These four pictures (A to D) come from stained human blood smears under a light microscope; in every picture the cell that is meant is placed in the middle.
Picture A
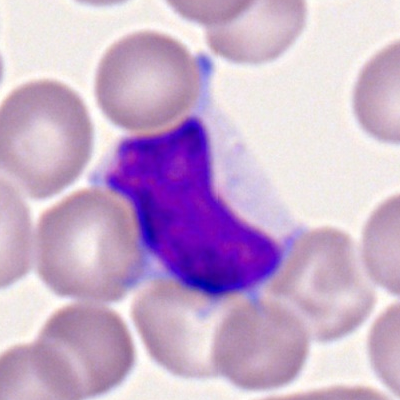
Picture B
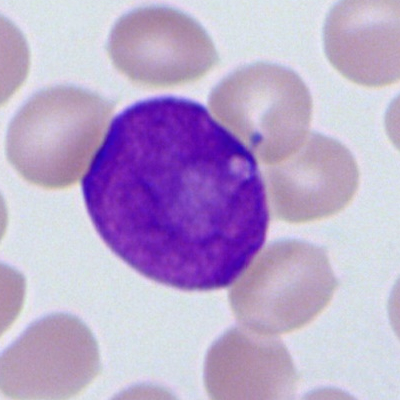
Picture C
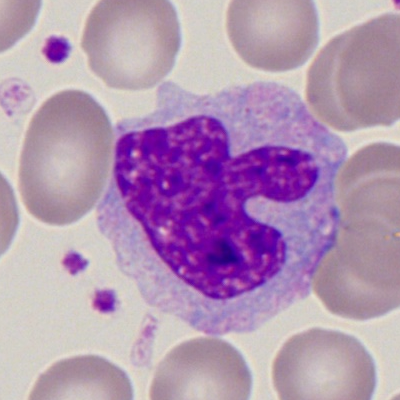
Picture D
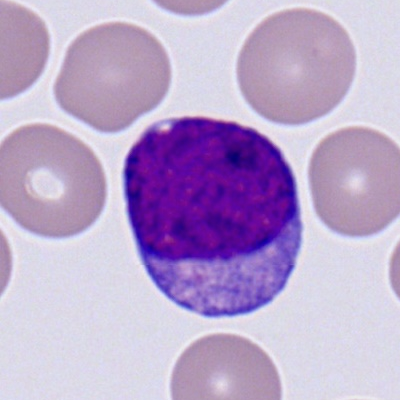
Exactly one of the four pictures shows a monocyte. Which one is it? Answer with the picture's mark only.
C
